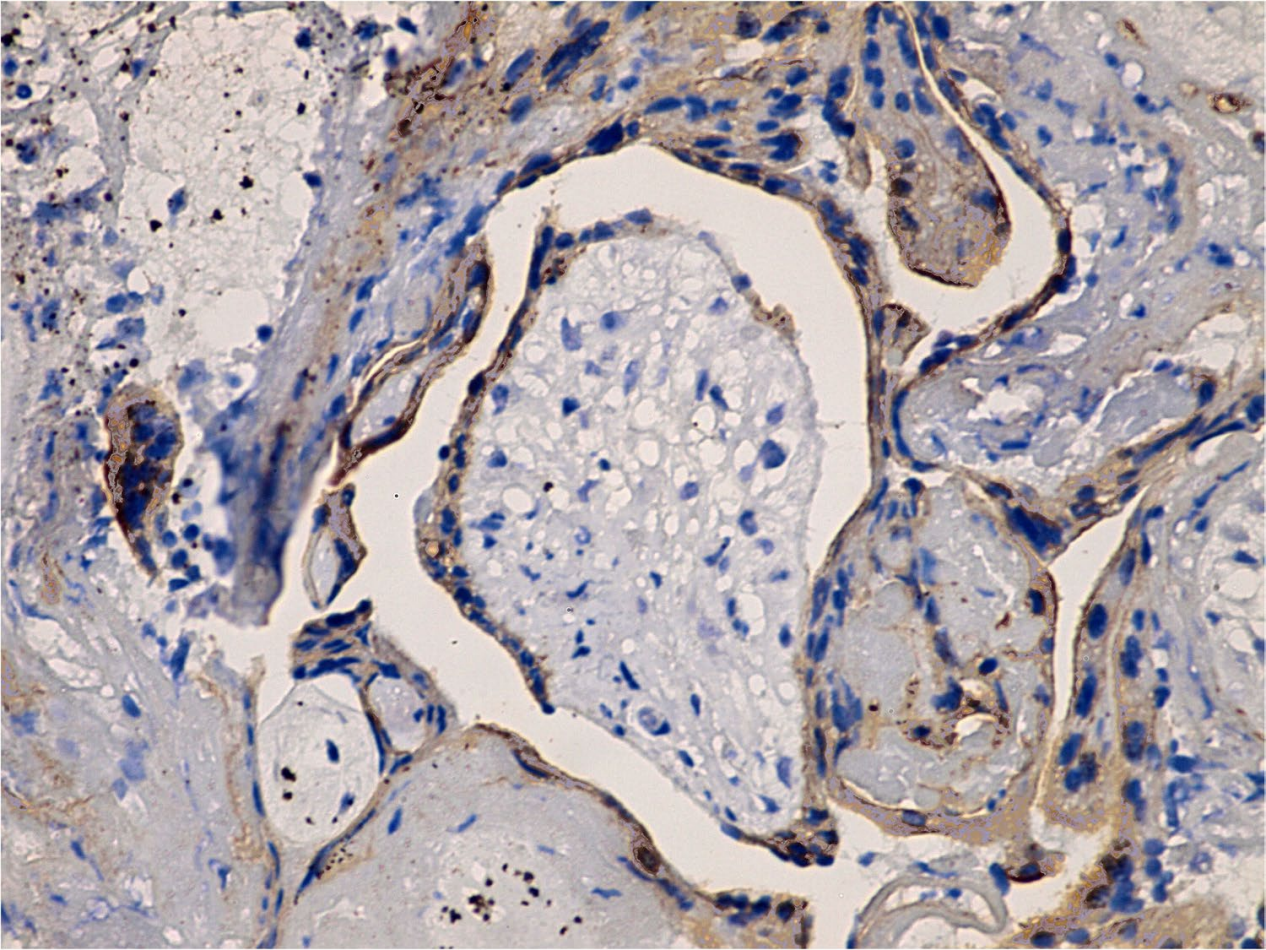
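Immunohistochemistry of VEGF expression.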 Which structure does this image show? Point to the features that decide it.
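Rounded and finger-like projections of loose pale connective tissue are separated by clear spaces.
Answer: villi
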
